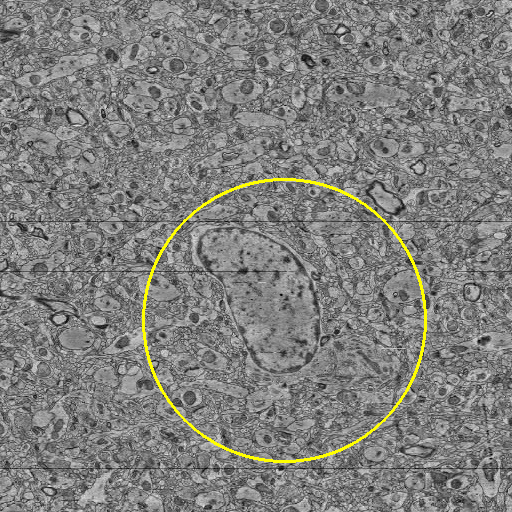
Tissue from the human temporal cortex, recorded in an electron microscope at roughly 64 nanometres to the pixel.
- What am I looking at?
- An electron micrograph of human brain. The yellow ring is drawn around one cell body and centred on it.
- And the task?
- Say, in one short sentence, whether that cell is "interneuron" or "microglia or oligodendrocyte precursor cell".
The cell in the middle of the ring is a microglial cell or oligodendrocyte precursor cell.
